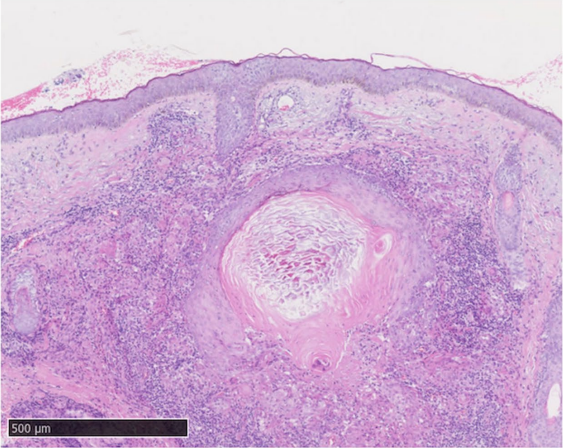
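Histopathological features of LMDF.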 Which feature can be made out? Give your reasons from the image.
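Dermal keratin cyst. A round cavity in the dermis is filled with pale pink laminated flaky material. The cavity is lined by a wall of pink squamous epithelium. Dense purple small-cell infiltrates surround the cavity.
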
